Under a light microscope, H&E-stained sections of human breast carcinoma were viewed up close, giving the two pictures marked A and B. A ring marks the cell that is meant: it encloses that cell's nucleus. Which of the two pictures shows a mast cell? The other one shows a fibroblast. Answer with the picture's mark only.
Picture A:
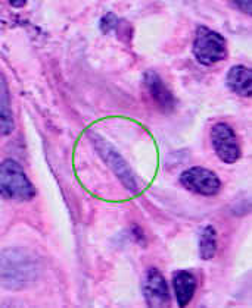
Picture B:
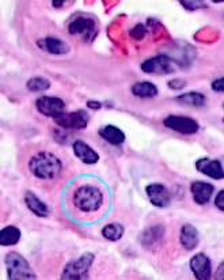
B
